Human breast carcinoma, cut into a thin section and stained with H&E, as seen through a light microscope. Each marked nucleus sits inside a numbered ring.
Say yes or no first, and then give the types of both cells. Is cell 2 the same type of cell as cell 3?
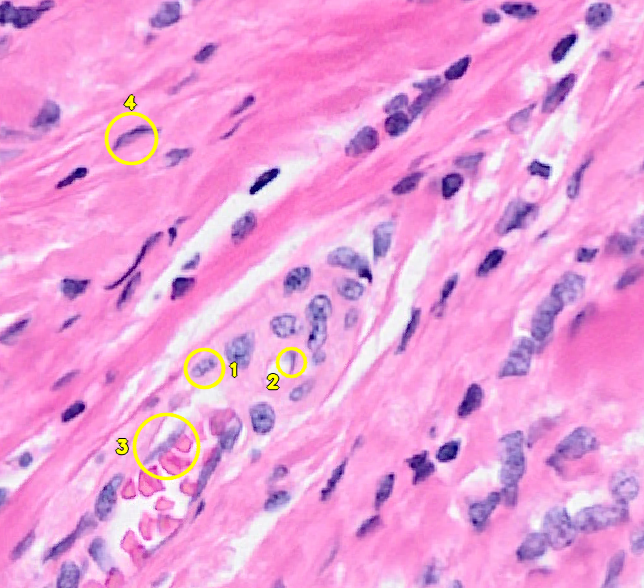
Yes, that cells 2 and 3 are both endothelial cells holds true.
